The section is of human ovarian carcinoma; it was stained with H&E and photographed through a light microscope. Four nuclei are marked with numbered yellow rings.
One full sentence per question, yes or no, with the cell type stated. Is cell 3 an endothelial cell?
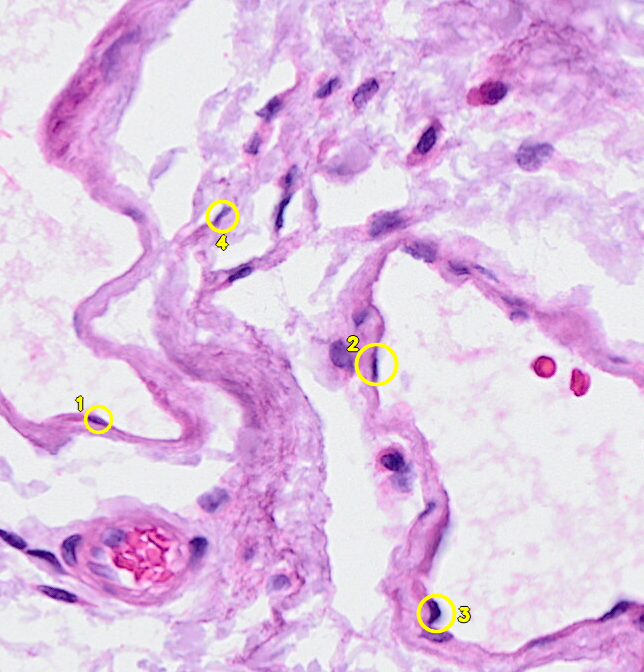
Yes, on this slide, the cell with number 3 is an endothelial cell.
